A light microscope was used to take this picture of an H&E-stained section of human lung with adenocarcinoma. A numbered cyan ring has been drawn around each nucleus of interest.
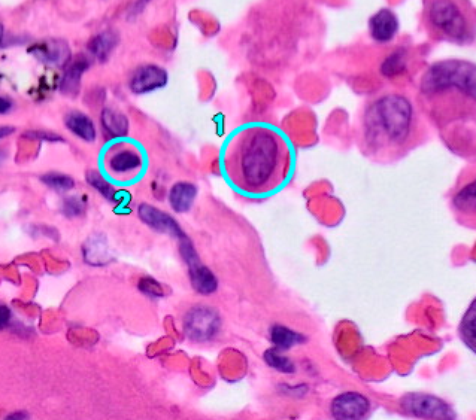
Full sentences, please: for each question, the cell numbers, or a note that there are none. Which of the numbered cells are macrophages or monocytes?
There is just one numbered cell that is a macrophage or monocyte, and it is cell 1.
